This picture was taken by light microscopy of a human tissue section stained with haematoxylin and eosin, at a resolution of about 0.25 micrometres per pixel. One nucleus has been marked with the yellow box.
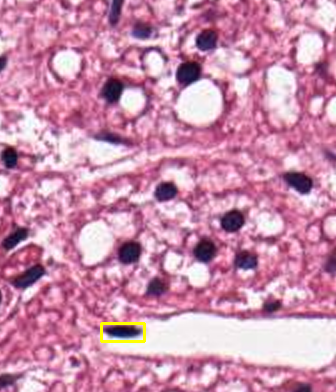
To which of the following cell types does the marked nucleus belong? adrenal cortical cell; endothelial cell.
endothelial cell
